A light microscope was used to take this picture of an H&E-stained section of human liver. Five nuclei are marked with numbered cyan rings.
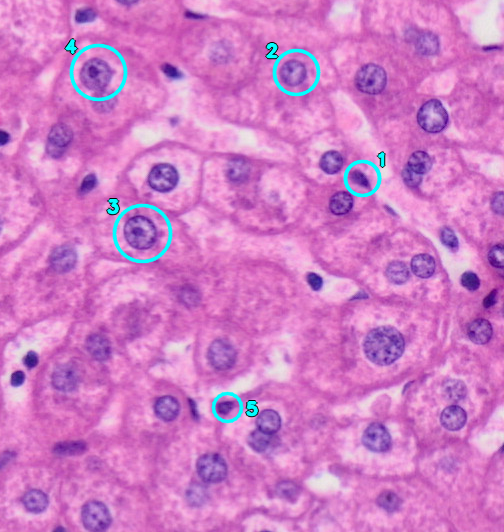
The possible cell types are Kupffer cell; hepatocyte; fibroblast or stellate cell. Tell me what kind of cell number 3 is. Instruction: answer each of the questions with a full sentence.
The label 3 in this section denotes a hepatocyte.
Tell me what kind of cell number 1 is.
That cell with number 1 is a fibroblast or stellate cell.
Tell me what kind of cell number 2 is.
The cell whose nucleus carries the number 2 is a hepatocyte.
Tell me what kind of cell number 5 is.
The correct label for cell 5 is a Kupffer cell.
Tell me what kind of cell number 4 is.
The cell that bears the number 4 is a hepatocyte.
